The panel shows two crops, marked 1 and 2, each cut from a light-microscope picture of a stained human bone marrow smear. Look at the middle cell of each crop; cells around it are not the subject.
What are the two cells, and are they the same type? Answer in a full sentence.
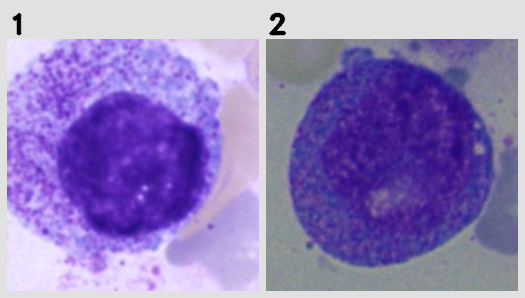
Yes, in both crops the centred cells are promyelocytes.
